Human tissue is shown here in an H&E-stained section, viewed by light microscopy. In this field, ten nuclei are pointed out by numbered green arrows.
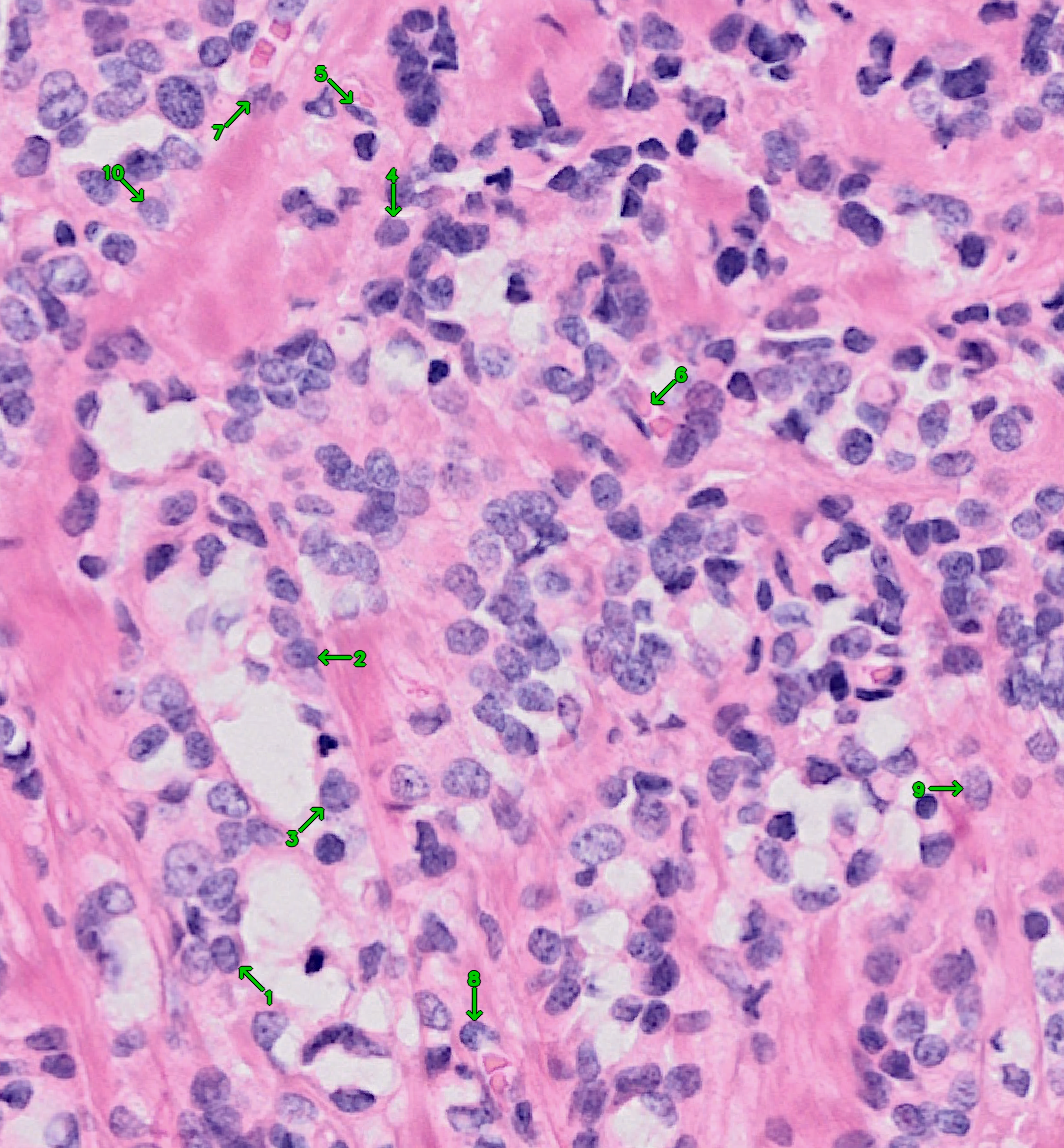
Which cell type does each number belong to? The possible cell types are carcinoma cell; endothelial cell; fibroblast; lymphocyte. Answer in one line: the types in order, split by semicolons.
carcinoma cell; carcinoma cell; carcinoma cell; carcinoma cell; endothelial cell; endothelial cell; endothelial cell; endothelial cell; carcinoma cell; carcinoma cell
